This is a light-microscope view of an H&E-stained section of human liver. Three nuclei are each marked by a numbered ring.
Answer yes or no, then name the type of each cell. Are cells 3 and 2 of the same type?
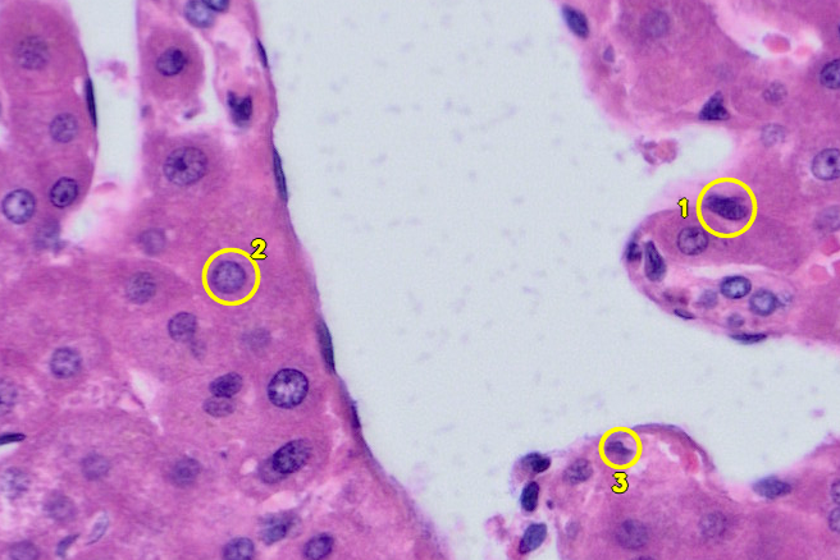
No, unlike cell 2, which is a hepatocyte, cell 3 is a fibroblast or stellate cell.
